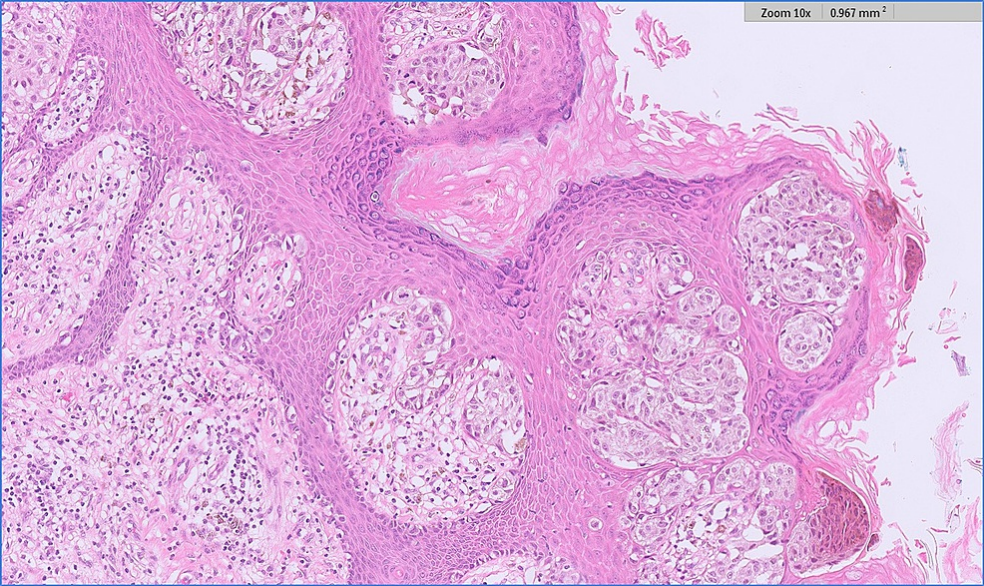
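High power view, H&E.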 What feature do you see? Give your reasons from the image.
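Rounded clusters of pale cells are bounded by squamous epithelium. Many such clusters sit at the junction between epidermis and dermis. The answer: nests.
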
